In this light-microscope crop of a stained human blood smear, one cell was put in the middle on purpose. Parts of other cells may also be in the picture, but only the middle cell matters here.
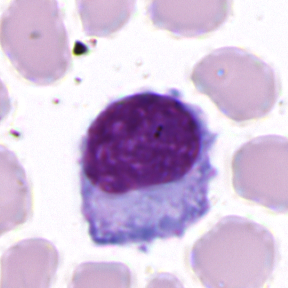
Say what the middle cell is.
plasma cell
